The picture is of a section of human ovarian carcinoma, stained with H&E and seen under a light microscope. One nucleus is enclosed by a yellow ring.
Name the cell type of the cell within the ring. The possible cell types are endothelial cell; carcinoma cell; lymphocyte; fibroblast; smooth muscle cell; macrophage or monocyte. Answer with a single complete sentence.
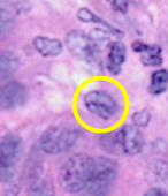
What the cell within the ring represents is a macrophage or monocyte.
